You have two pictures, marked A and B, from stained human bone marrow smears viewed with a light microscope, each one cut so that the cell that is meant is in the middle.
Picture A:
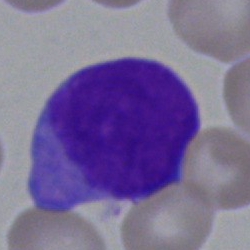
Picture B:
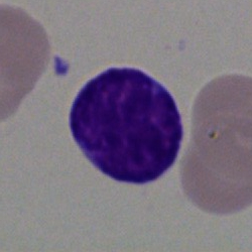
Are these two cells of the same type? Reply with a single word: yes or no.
yes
